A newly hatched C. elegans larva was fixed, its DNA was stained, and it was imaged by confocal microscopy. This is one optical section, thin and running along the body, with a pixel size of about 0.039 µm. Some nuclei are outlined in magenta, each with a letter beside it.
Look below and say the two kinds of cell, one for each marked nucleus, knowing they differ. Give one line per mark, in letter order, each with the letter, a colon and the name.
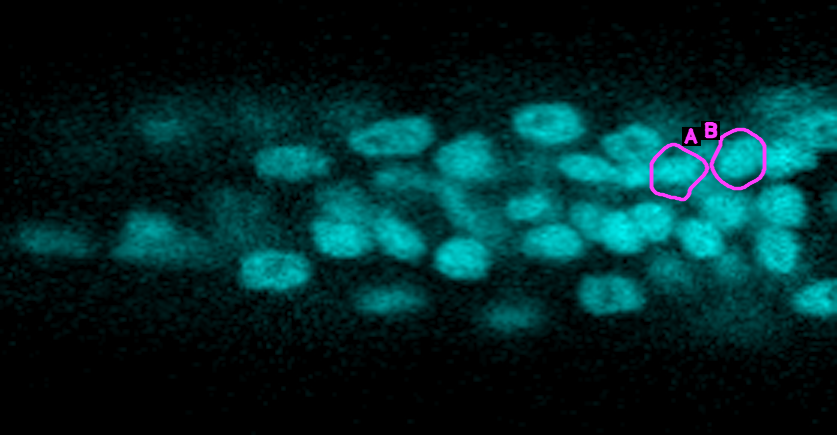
A: glial cell (sheath or socket)
B: neuron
